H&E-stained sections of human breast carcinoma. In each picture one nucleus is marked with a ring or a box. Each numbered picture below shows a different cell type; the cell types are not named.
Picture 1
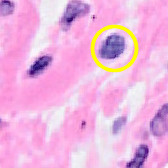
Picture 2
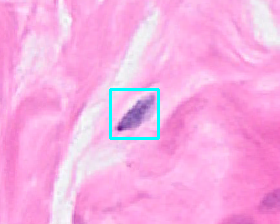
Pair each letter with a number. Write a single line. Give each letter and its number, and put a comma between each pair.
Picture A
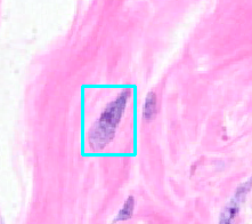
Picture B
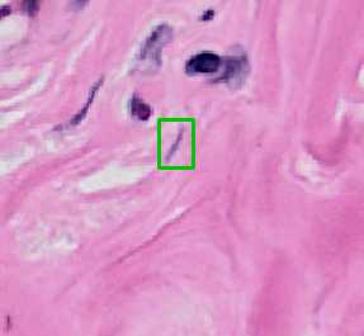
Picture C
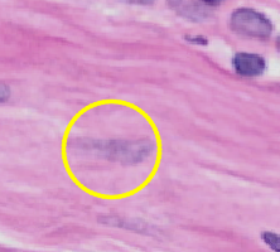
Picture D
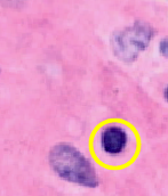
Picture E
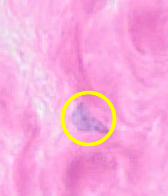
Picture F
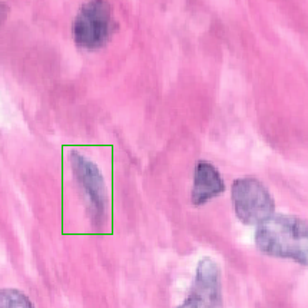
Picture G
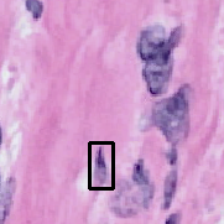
A 2, B 2, C 2, D 1, E 2, F 2, G 2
